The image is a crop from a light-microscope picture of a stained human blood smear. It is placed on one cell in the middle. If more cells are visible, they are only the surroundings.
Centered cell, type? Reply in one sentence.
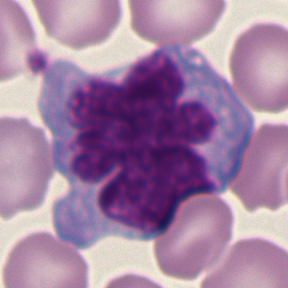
Among the cells in view, the one in the middle is a monocyte.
